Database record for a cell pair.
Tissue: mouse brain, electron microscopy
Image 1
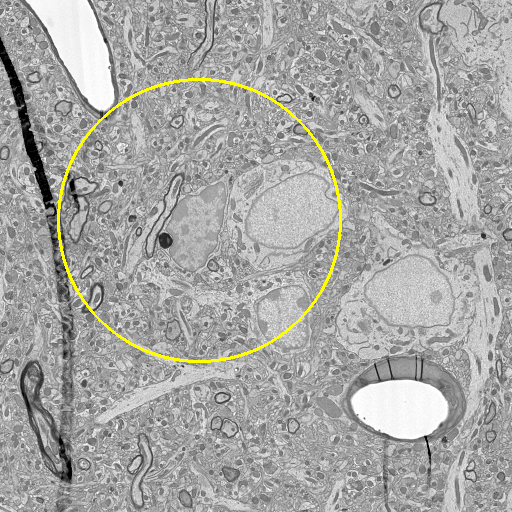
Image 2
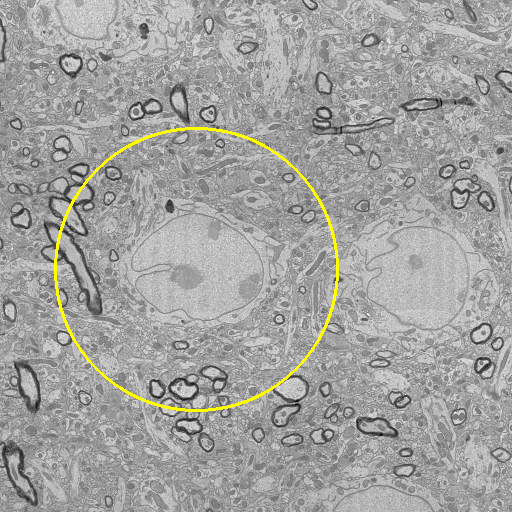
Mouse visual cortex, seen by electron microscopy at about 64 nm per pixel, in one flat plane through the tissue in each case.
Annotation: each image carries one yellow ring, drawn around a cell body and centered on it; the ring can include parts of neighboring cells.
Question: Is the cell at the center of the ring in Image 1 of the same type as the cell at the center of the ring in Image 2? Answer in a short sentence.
No, the cells are of two types.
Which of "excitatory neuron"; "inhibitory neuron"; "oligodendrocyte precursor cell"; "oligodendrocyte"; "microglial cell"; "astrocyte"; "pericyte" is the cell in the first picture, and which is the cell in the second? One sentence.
The two differ: the first cell is a microglial cell and the second is an excitatory neuron.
